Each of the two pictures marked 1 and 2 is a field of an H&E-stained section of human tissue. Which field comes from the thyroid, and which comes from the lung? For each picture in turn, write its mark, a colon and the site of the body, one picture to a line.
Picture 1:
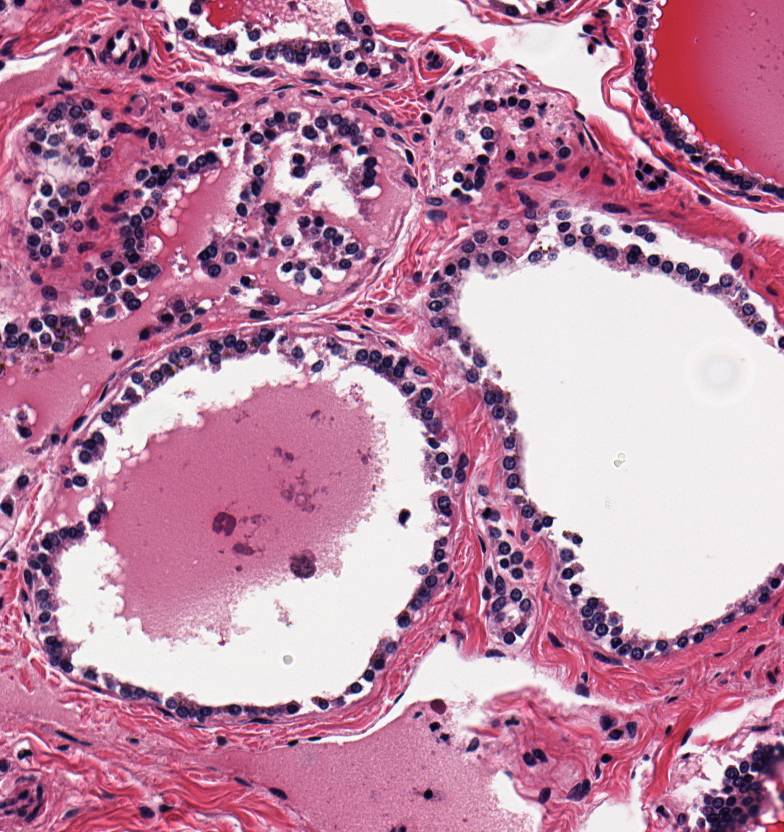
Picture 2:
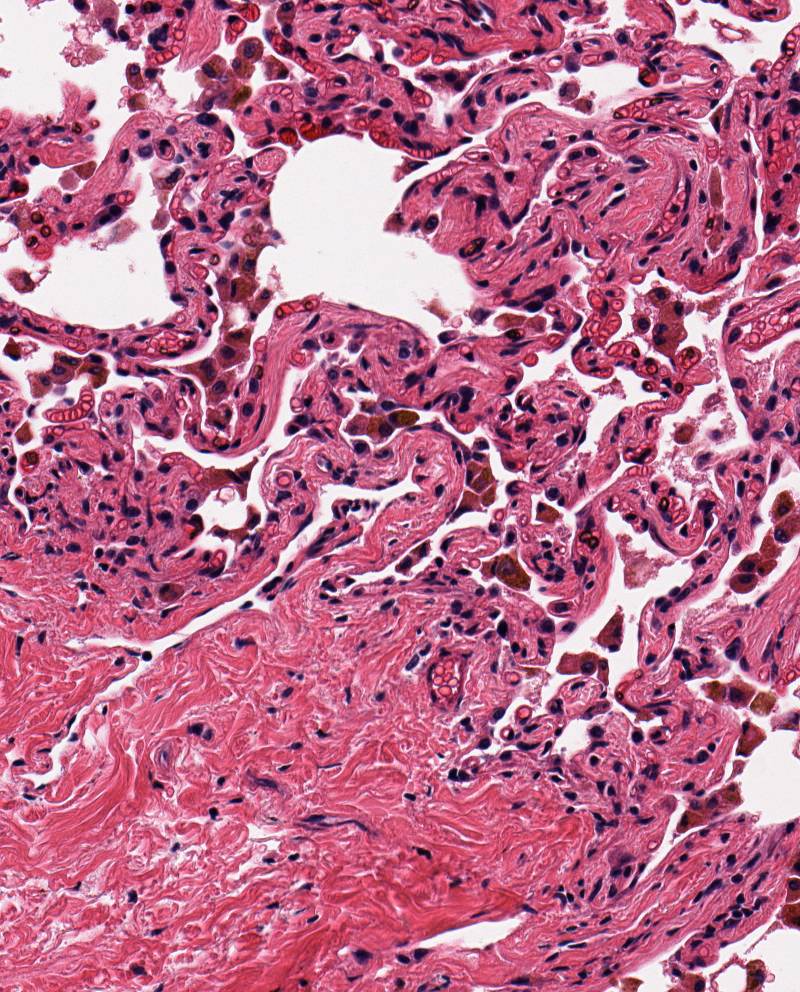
1: thyroid
2: lung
